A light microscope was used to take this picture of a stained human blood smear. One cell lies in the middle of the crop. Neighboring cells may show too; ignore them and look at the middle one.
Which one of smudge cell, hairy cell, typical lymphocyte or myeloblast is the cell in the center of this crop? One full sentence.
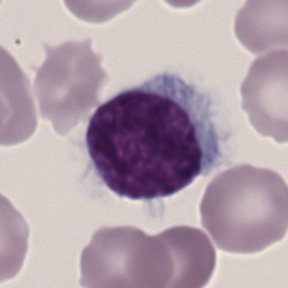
By classification, the middle cell of this crop is a hairy cell.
